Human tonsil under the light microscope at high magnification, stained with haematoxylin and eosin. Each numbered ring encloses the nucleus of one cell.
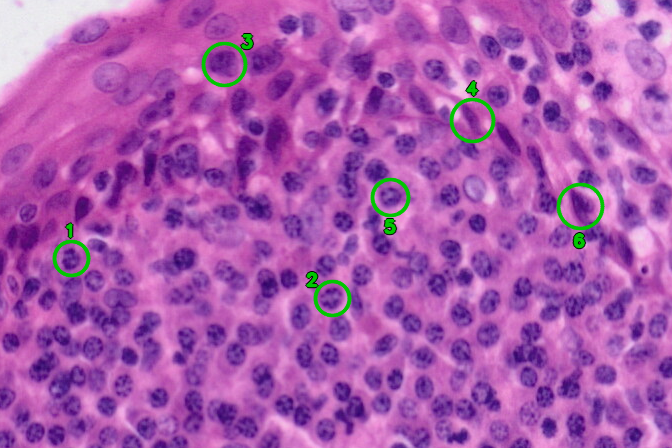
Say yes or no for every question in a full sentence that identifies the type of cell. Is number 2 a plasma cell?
Yes, the cell that is numbered 2 is a plasma cell.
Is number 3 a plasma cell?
No, number 3 identifies a squamous epithelial cell, not a plasma cell.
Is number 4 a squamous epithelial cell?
Yes, exactly, the cell numbered 4 is a squamous epithelial cell.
